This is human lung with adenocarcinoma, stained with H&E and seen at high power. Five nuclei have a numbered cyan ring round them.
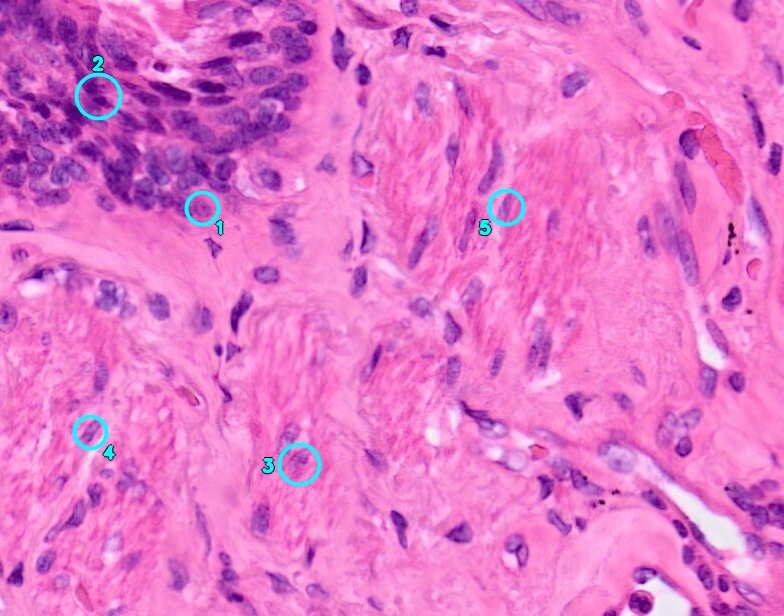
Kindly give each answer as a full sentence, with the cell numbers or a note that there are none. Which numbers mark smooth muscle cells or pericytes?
The cells that bear the numbers 3, 4 and 5 are smooth muscle cells or pericytes.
